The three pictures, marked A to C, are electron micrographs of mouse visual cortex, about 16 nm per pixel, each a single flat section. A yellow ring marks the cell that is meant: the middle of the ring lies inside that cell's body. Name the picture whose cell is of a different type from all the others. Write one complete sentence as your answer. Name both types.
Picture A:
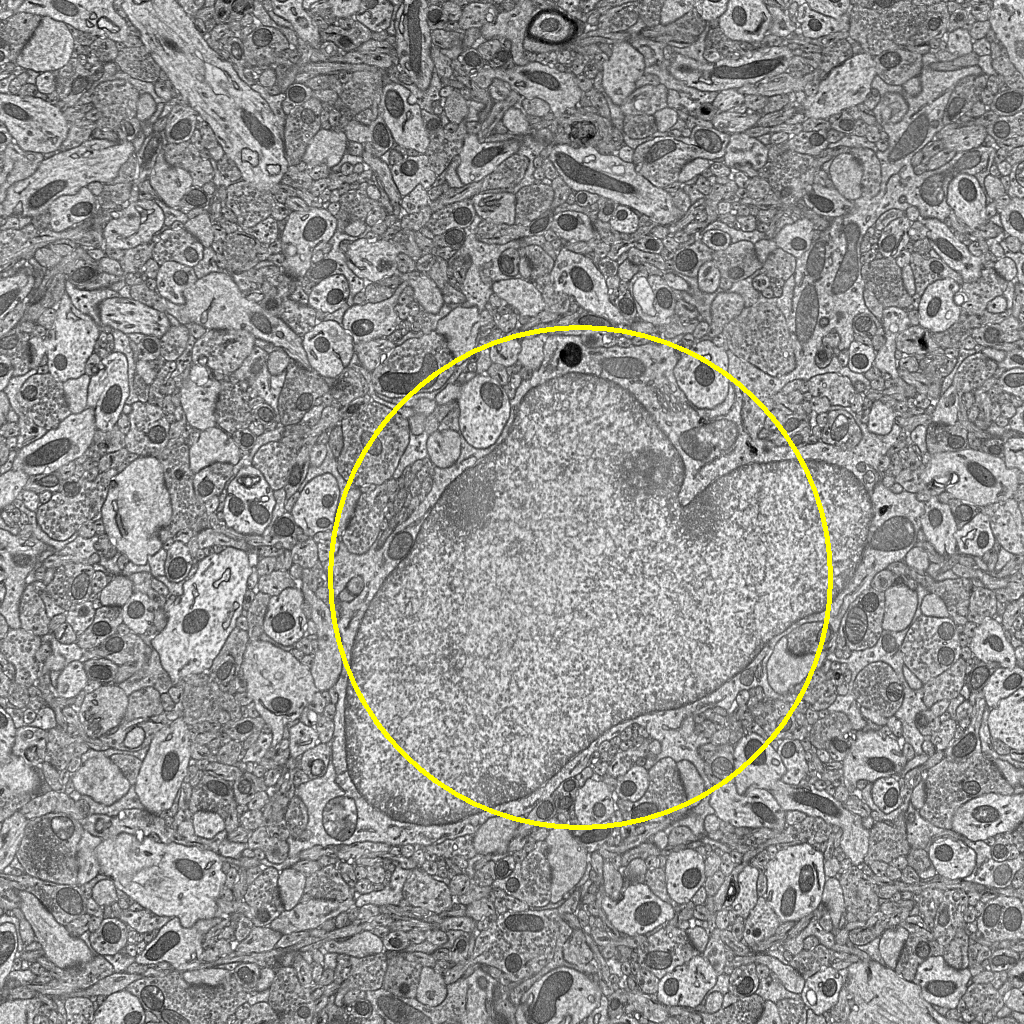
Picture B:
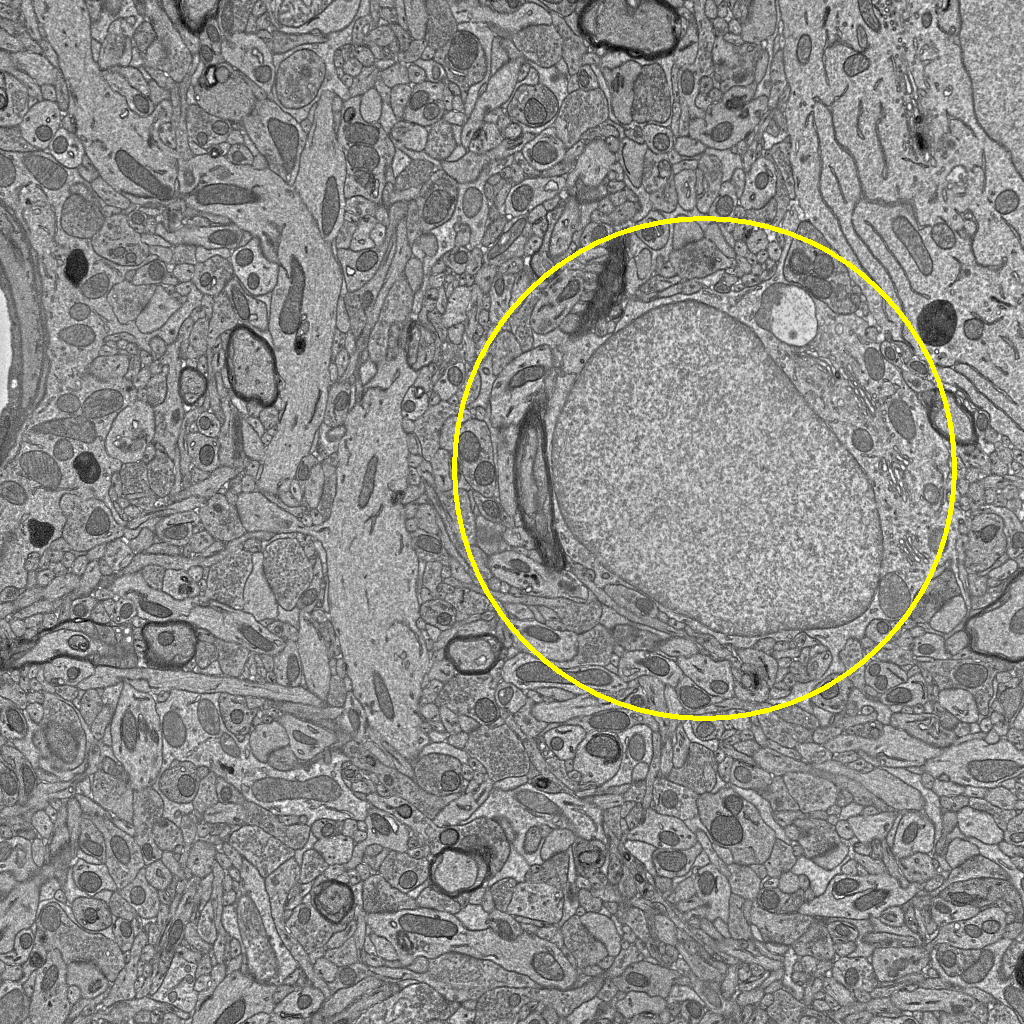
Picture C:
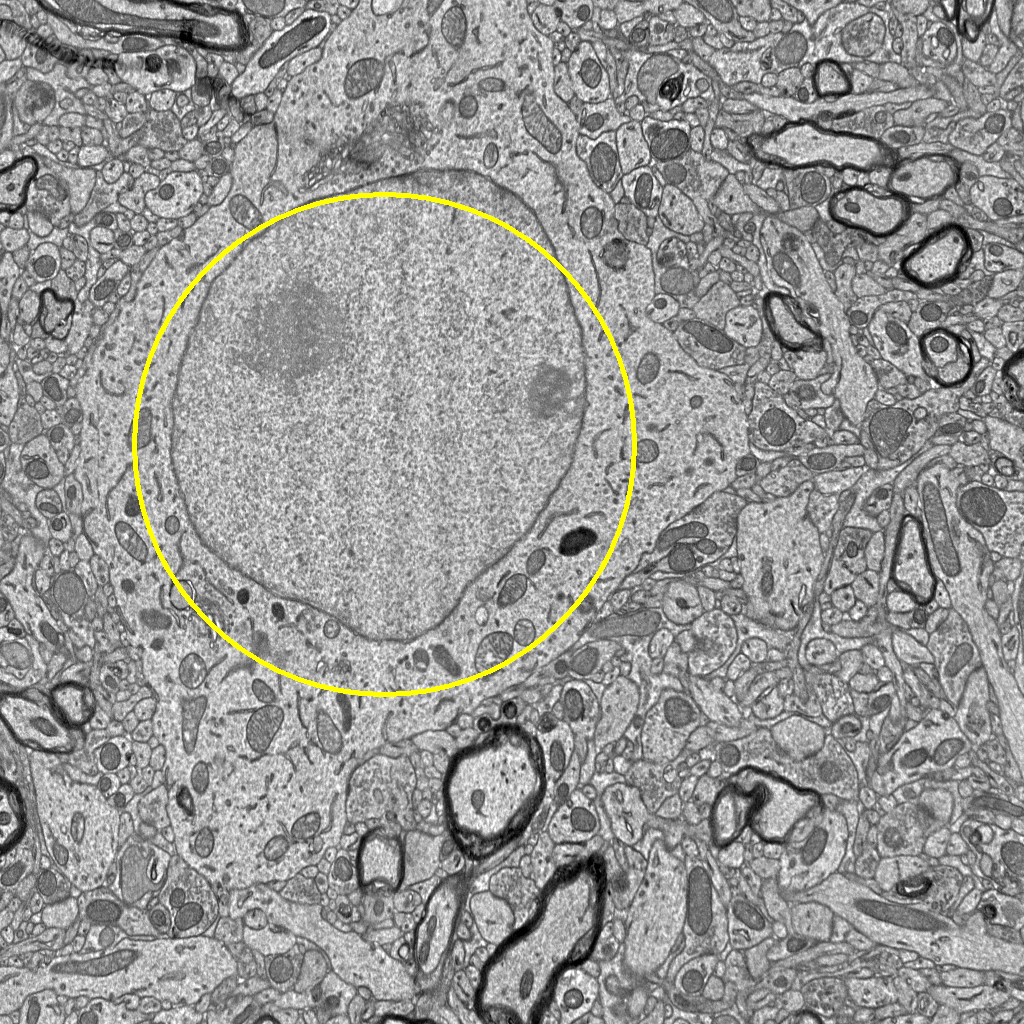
Picture C differs, because its cell is an excitatory neuron and the rest are astrocytes.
